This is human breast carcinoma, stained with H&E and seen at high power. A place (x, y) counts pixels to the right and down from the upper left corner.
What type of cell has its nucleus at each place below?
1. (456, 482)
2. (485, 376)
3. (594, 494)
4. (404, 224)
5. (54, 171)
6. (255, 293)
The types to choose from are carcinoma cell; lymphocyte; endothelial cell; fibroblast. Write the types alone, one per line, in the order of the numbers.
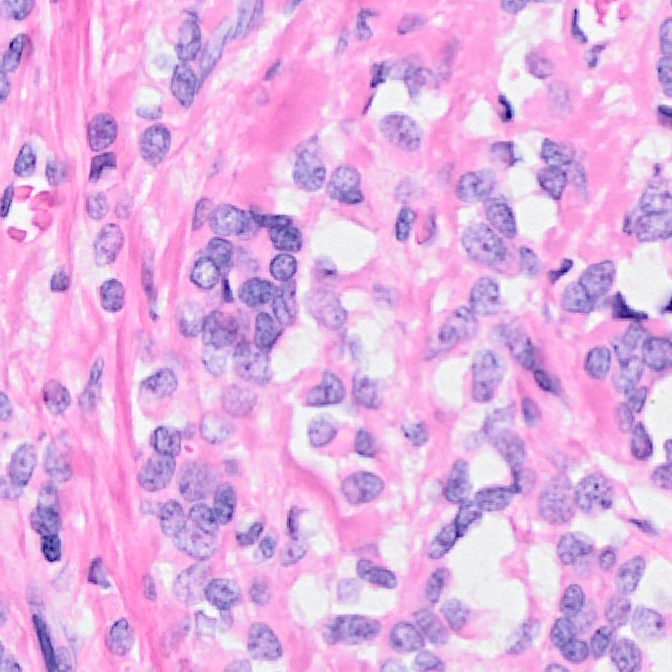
carcinoma cell
carcinoma cell
carcinoma cell
endothelial cell
endothelial cell
carcinoma cell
